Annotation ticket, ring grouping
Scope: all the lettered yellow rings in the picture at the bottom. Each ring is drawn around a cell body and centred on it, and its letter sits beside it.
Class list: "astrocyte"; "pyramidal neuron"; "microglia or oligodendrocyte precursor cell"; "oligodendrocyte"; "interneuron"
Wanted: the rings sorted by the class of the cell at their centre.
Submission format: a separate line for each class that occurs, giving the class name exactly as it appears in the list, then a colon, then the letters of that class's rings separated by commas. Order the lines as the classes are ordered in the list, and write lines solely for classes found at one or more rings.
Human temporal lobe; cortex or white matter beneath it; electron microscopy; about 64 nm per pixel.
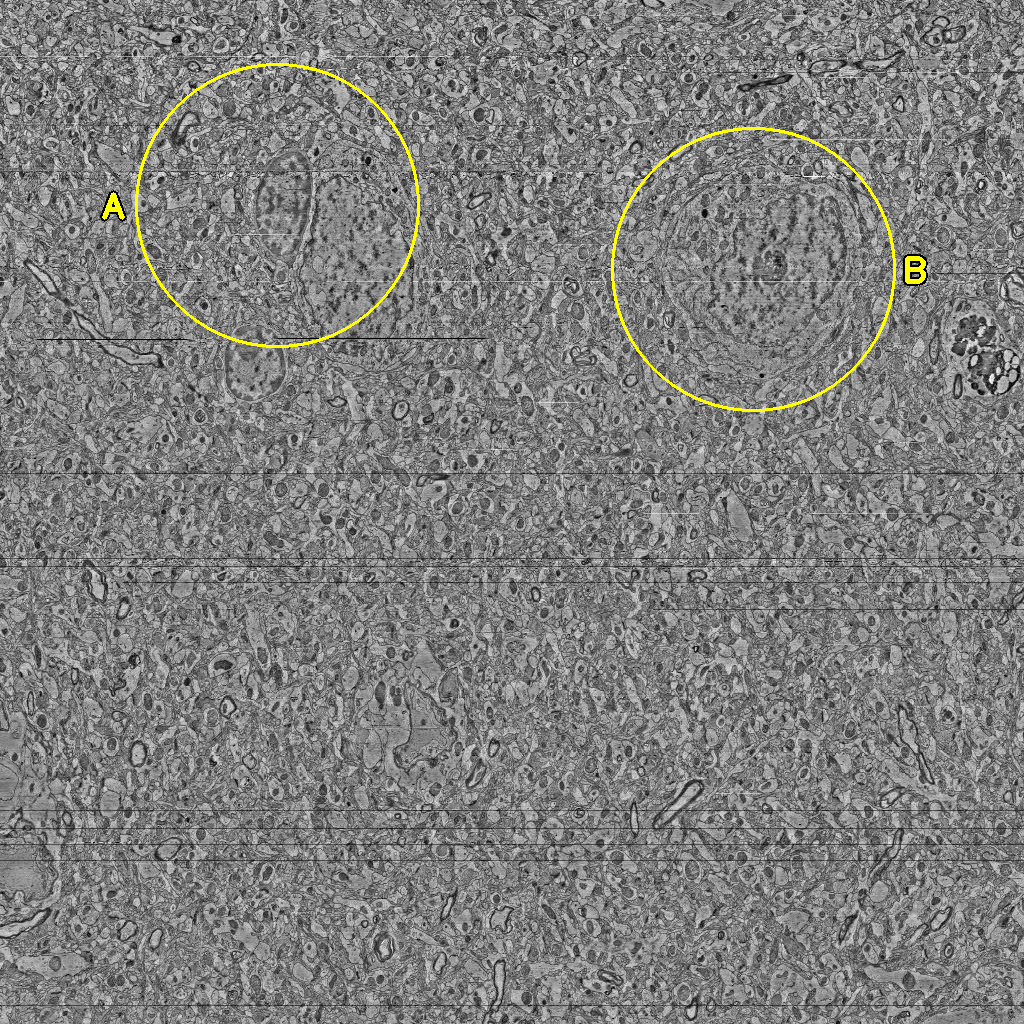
oligodendrocyte: A
interneuron: B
